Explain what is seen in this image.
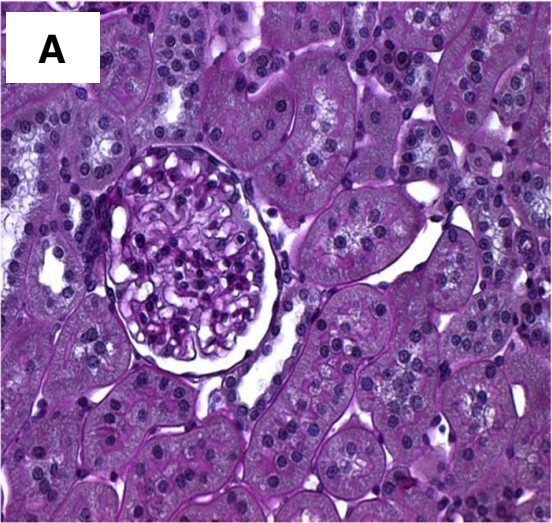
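This is renal cortex with a central glomerulus: a rounded capillary tuft with many small dark nuclei, lying inside a thin capsule and separated from it by a narrow clear space. Thin magenta basement membranes outline each tubule and the capsule, with little interstitium between them.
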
